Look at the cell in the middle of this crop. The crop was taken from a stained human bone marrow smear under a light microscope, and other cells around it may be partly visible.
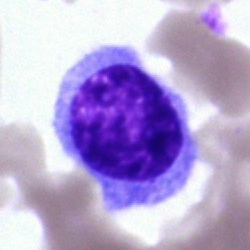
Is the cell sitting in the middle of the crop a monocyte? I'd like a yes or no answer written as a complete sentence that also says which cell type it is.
No, this one is a hairy cell; it is not a monocyte.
